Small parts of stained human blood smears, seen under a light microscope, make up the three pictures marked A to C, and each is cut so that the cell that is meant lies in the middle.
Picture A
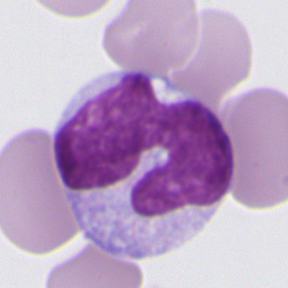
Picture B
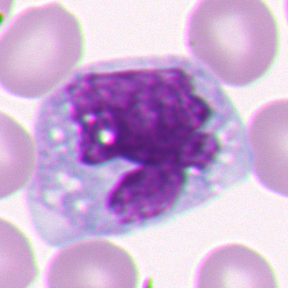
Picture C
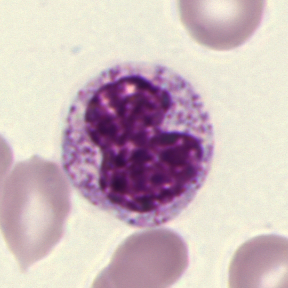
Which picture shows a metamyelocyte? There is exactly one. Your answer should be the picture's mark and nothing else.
C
